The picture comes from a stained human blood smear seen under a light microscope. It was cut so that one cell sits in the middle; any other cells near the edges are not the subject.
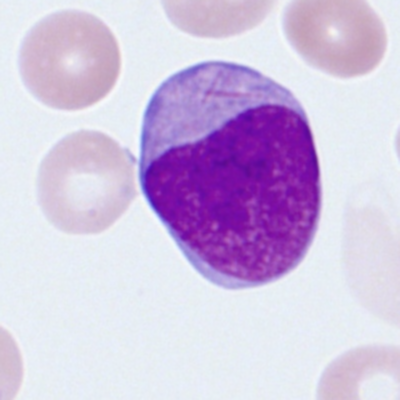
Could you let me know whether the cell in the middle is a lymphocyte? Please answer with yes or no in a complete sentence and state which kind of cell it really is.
No, this one is a myeloblast; it is not a lymphocyte.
